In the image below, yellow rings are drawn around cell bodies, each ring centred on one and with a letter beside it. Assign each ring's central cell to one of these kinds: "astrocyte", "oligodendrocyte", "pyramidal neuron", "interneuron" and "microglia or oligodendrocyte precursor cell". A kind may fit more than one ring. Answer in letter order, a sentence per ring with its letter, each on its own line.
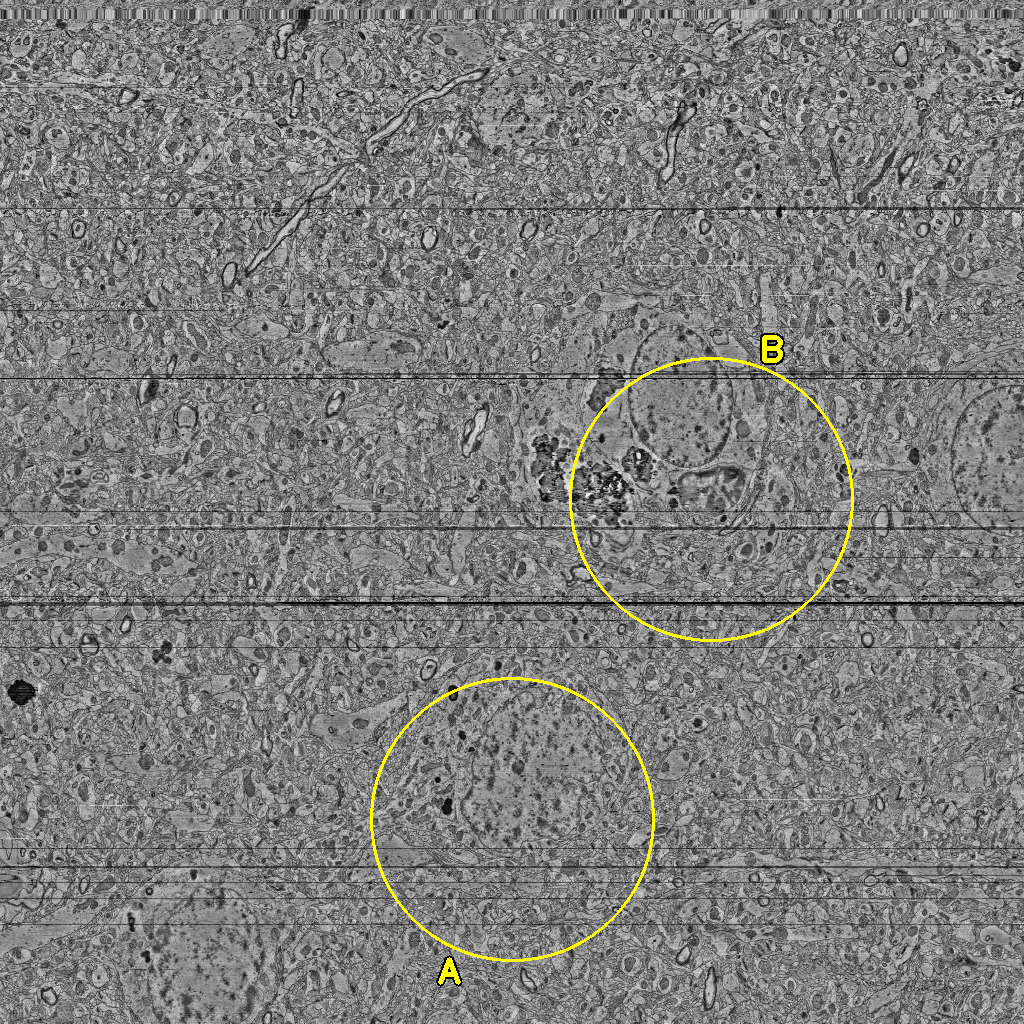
The central cell of ring A is an interneuron.
The central cell of ring B is a microglial cell or oligodendrocyte precursor cell.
